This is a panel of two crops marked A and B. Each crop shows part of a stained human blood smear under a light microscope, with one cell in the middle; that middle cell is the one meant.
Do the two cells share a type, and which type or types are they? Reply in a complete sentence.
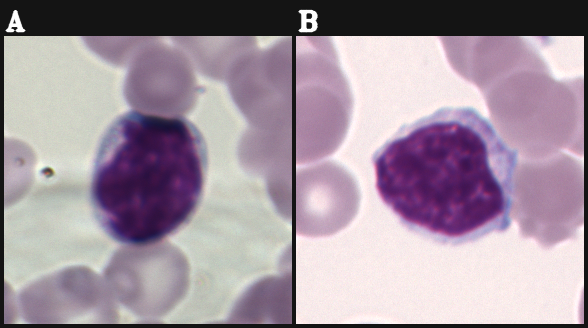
Yes, that is right, both crops show large granular lymphocytes.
